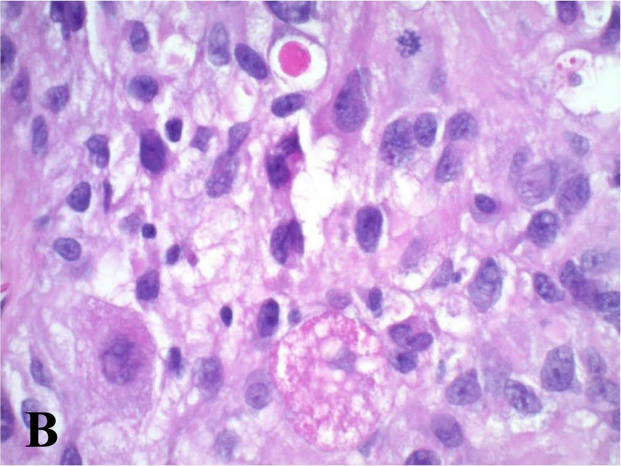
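At high power this is a cellular tumor of neoplastic astrocytes set in a pale pink, finely fibrillary background. Their nuclei are large, oval to irregular, and vary considerably in size and darkness; several show visible nucleoli. At lower left a giant cell with abundant glassy pink cytoplasm stands out, and in the middle lies a large rounded cell whose cytoplasm is filled with many small clear vacuoles, giving a foamy look. Near the top a bright pink round body sits within a clear space, and a dividing cell with clumped chromosomes can be seen at the upper right.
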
